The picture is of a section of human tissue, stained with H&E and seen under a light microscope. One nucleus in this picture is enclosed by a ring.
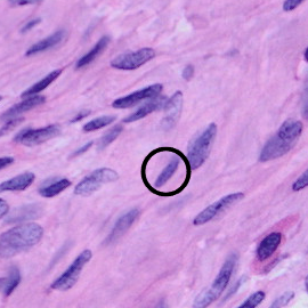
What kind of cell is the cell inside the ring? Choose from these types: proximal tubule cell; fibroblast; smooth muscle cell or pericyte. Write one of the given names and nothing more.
fibroblast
